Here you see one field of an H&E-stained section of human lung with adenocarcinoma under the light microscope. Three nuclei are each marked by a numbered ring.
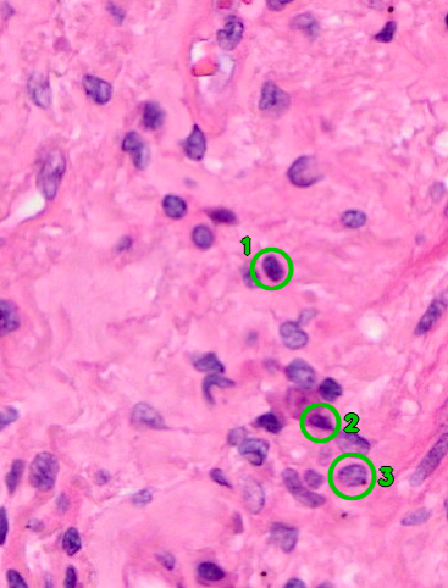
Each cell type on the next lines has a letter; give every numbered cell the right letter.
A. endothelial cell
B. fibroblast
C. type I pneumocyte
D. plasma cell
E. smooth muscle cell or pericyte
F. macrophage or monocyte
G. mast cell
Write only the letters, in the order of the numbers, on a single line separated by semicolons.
G; D; G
